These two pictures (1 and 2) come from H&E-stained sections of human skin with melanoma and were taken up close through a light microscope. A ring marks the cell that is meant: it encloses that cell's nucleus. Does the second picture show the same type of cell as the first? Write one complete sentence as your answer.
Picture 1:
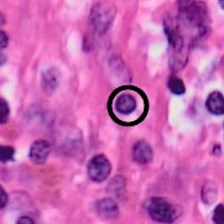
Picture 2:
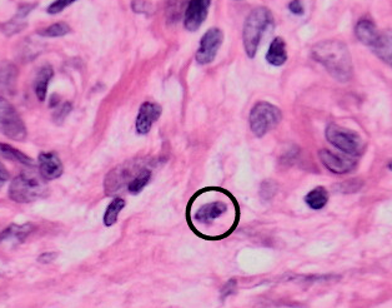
Yes; the cells in both pictures are lymphocytes.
